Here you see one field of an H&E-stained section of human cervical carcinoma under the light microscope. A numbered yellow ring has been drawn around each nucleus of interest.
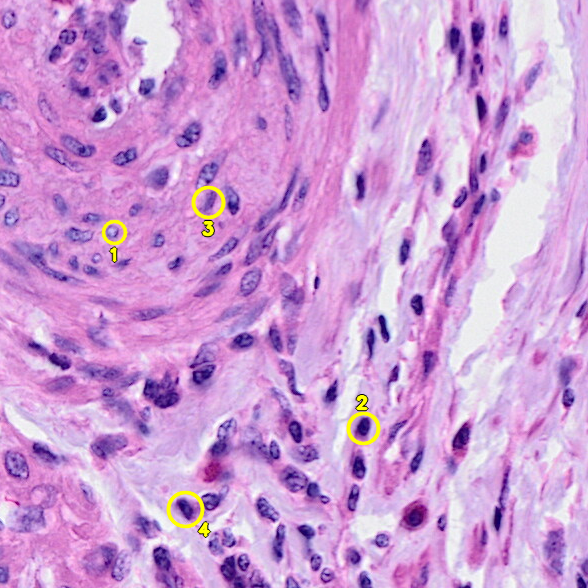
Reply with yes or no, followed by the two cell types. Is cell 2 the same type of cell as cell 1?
No, cell 2 is a lymphocyte, while cell 1 is a smooth muscle cell.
